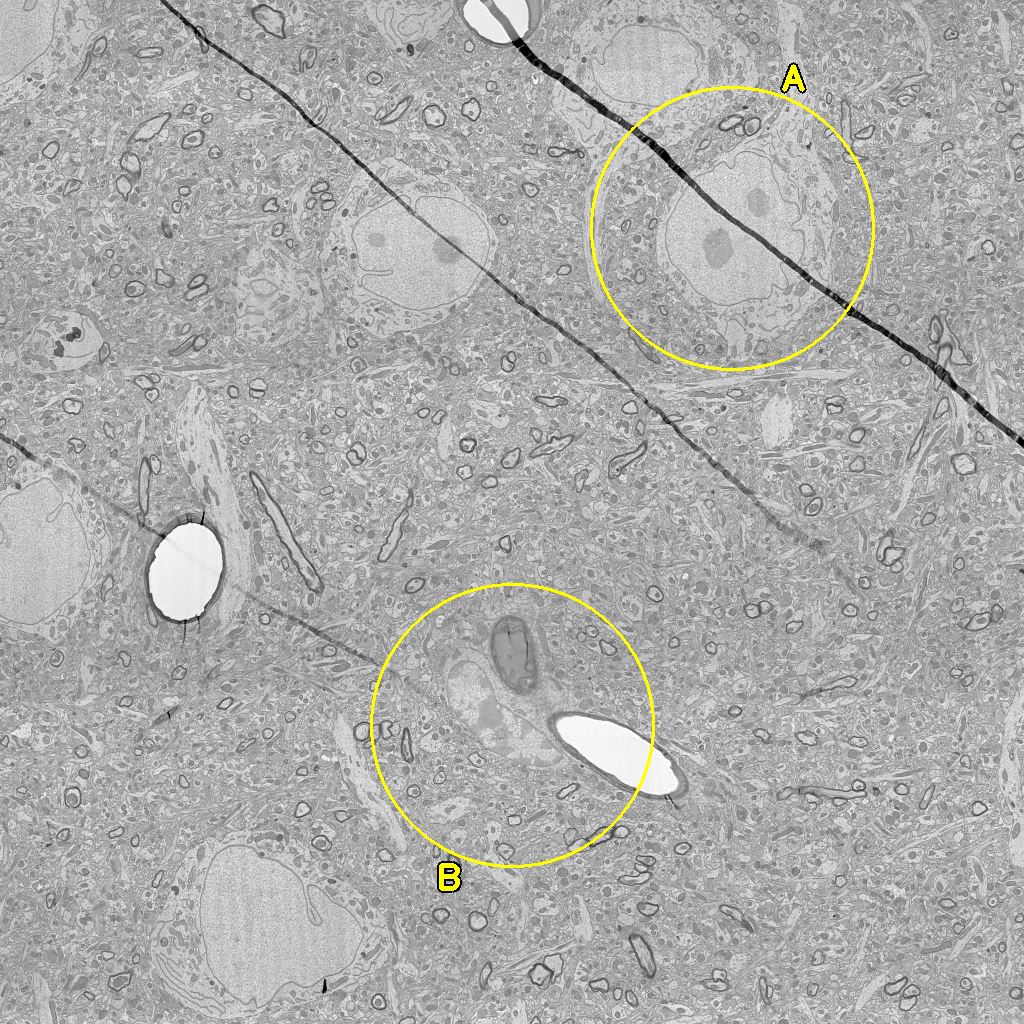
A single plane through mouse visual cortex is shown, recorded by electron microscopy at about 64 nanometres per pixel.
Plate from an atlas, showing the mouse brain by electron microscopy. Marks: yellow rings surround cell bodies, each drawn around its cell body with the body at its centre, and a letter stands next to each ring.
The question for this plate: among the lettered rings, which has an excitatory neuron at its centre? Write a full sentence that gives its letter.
Ring A holds at its centre the cell that the question asks about in the picture.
